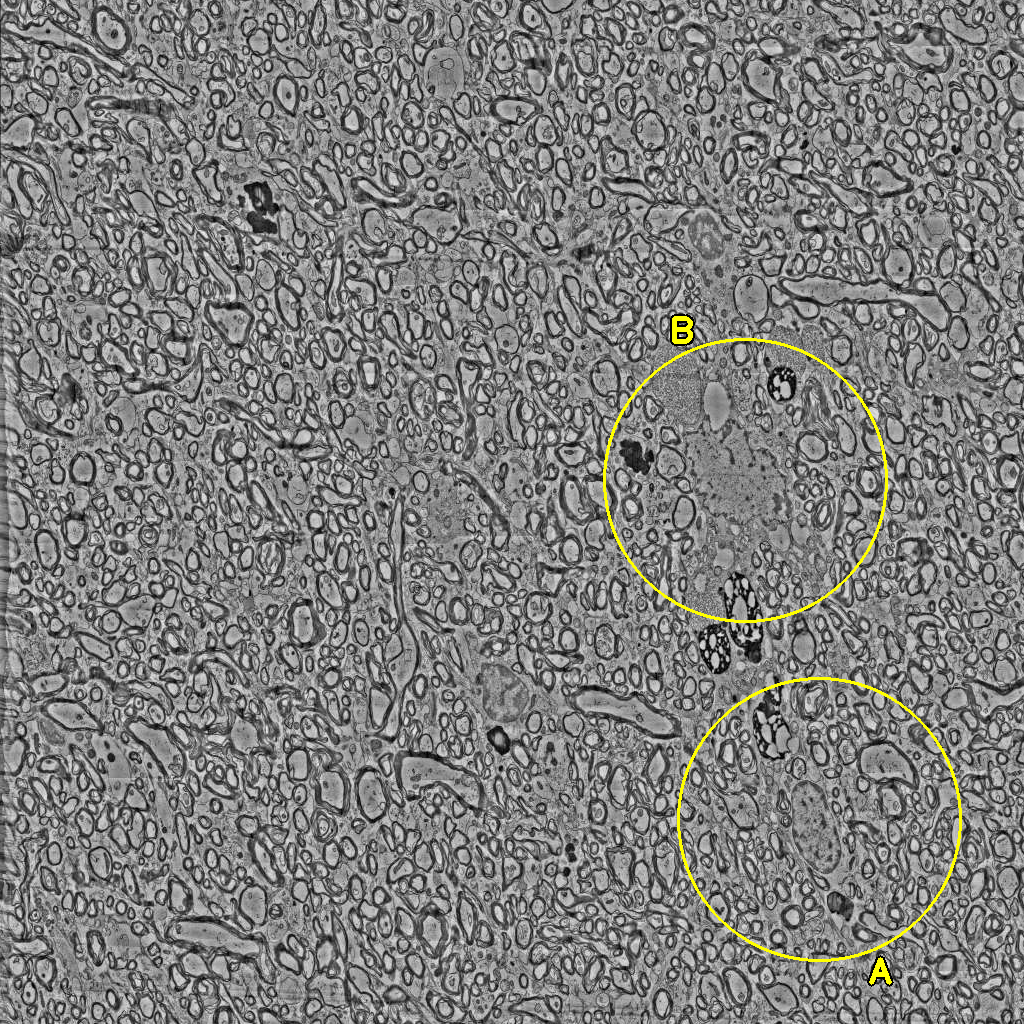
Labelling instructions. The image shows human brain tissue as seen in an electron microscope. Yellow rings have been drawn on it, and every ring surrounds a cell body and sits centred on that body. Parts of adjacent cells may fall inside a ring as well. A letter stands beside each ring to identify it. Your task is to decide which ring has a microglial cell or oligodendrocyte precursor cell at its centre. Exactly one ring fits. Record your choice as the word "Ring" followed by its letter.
Ring A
